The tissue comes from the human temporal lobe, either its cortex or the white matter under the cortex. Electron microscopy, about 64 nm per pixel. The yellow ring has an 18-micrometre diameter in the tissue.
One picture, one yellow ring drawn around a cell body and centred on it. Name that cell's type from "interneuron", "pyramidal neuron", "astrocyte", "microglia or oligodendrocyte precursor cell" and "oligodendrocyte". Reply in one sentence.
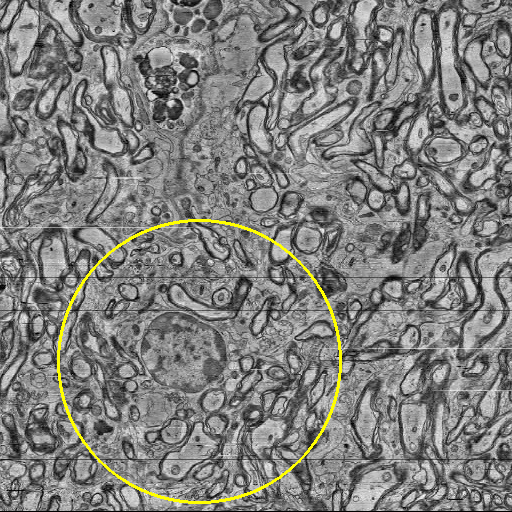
Centred in the ring is a microglial cell or oligodendrocyte precursor cell.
